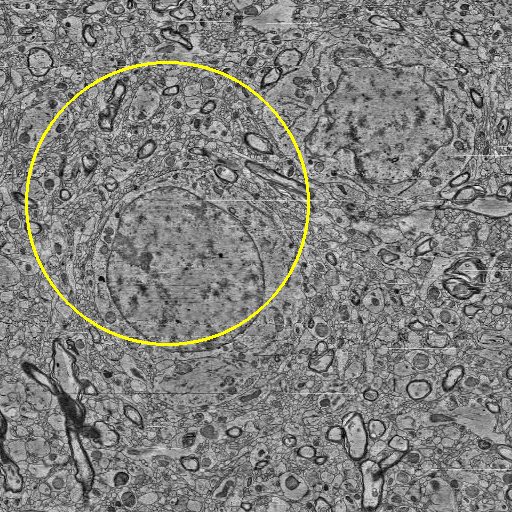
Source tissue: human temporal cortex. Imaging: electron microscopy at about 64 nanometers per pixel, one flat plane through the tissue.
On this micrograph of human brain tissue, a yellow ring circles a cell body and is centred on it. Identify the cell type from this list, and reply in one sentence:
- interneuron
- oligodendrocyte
The cell at the centre is an interneuron.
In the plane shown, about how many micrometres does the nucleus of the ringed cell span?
The nucleus is approximately 12 micrometers long by 10 micrometers wide in this plane.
